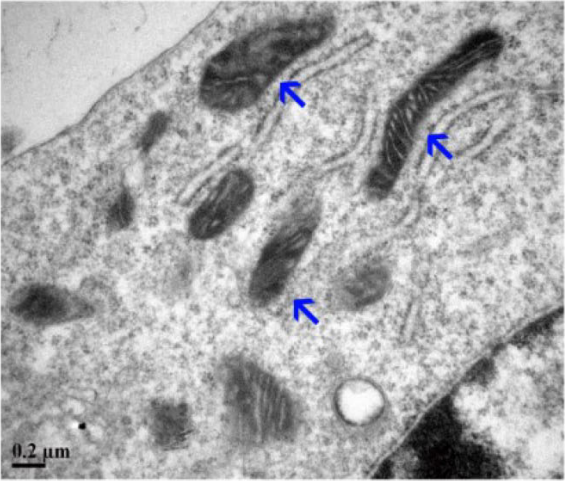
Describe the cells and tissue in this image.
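Several mitochondria are present as elongated or oval organelles with an electron-dense matrix crossed by numerous parallel, transverse cristae. Beside them run long, narrow, paired membrane cisternae of endoplasmic reticulum. The nucleus is bounded by a nuclear envelope and contains dark clumps of heterochromatin along its edge. A small clear round vesicle lies in the cytoplasm near the bottom.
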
